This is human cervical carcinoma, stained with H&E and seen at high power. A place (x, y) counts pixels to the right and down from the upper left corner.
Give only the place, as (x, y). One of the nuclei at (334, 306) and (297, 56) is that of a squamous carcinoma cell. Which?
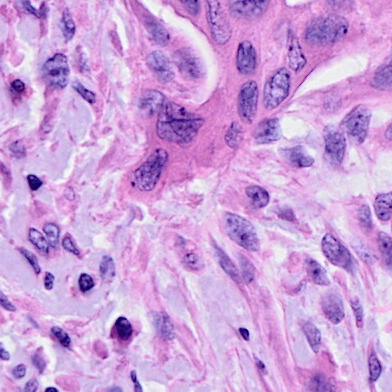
(297, 56)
